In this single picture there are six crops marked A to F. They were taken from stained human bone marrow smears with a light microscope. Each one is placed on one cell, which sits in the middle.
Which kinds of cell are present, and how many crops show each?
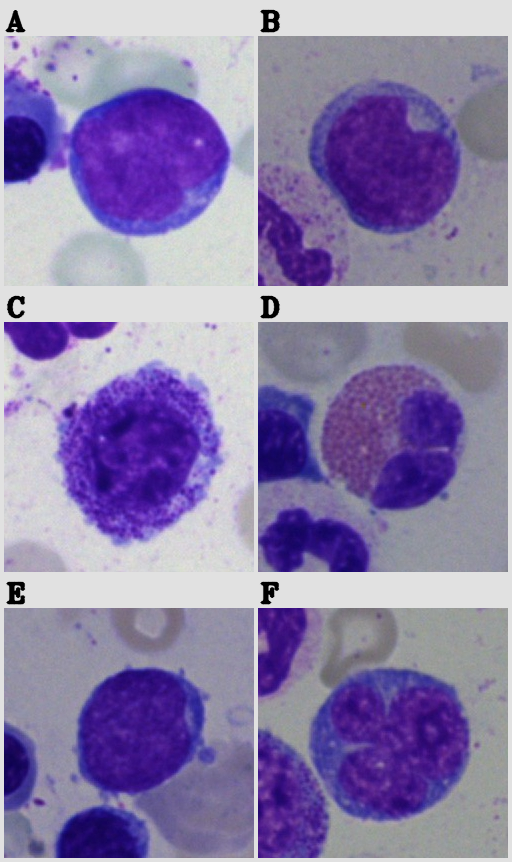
blast: 4
myelocyte: 1
eosinophil: 1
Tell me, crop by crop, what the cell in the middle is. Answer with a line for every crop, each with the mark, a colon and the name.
A: blast
B: blast
C: myelocyte
D: eosinophil
E: blast
F: blast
